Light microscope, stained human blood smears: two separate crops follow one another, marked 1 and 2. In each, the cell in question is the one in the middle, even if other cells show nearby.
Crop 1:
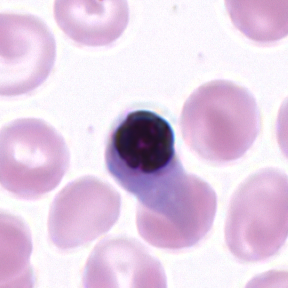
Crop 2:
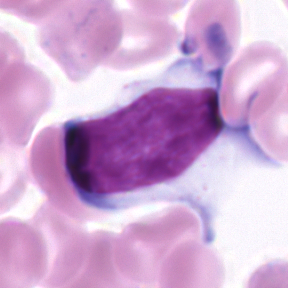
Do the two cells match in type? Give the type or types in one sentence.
No, crop 1 captures a normoblast; meanwhile crop 2 captures a typical lymphocyte.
